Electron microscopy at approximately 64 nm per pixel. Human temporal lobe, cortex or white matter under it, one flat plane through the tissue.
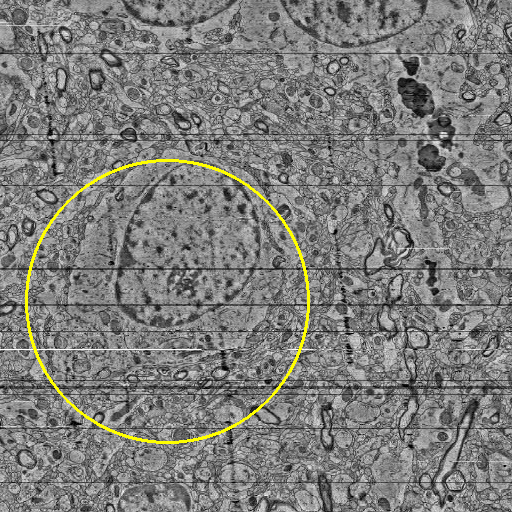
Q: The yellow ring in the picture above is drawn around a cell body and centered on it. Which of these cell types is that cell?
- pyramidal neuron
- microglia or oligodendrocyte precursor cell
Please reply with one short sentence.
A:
The cell body at the ring's center belongs to a microglial cell or oligodendrocyte precursor cell.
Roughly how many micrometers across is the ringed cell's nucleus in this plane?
The nucleus has a long axis of about 11 micrometres and a short axis of about 8 micrometres in this plane.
